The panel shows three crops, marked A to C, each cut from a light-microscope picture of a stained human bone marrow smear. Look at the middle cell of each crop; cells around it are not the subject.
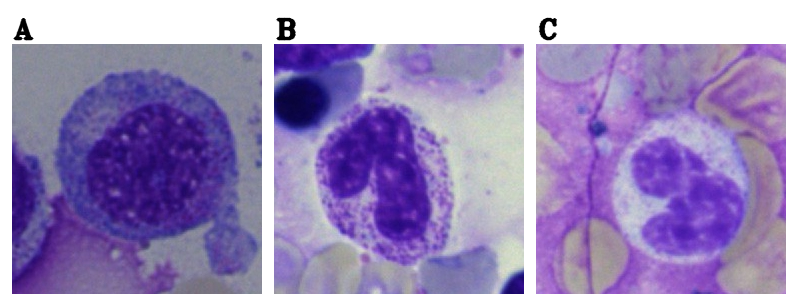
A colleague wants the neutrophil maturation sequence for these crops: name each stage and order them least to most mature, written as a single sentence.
The order from least to most mature is crop A (a promyelocyte), crop B (a band neutrophil) and crop C (a segmented neutrophil).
